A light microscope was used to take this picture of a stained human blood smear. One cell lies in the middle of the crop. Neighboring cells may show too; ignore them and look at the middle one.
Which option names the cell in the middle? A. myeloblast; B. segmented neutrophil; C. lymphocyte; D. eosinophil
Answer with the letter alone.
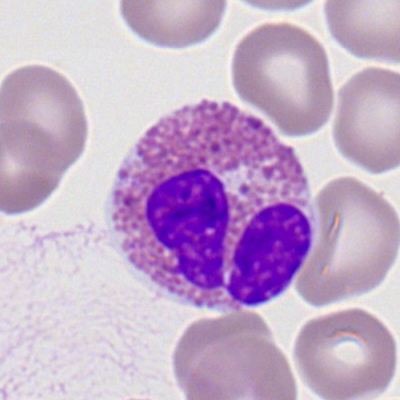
D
